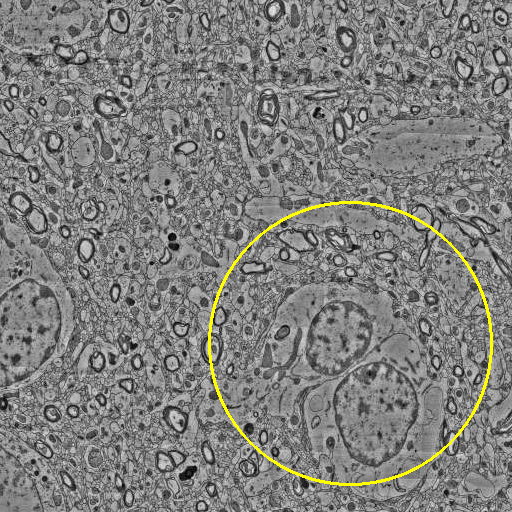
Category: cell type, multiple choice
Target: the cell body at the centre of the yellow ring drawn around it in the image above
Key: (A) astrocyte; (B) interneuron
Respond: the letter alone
A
